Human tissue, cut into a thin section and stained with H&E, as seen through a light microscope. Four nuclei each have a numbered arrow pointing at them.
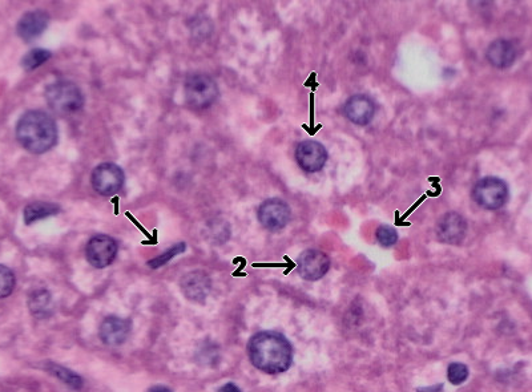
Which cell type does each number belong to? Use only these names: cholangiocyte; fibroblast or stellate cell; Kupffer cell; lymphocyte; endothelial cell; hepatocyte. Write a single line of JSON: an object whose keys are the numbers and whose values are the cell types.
{"1": "endothelial cell", "2": "hepatocyte", "3": "lymphocyte", "4": "hepatocyte"}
